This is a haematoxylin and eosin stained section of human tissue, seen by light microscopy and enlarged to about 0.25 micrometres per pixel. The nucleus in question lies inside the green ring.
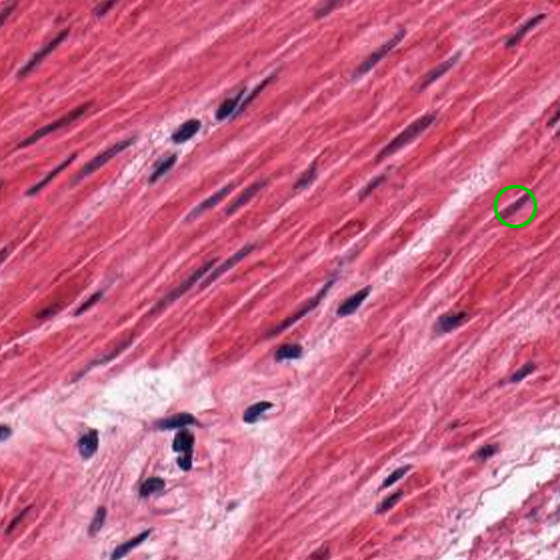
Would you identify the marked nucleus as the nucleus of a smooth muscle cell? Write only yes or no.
yes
